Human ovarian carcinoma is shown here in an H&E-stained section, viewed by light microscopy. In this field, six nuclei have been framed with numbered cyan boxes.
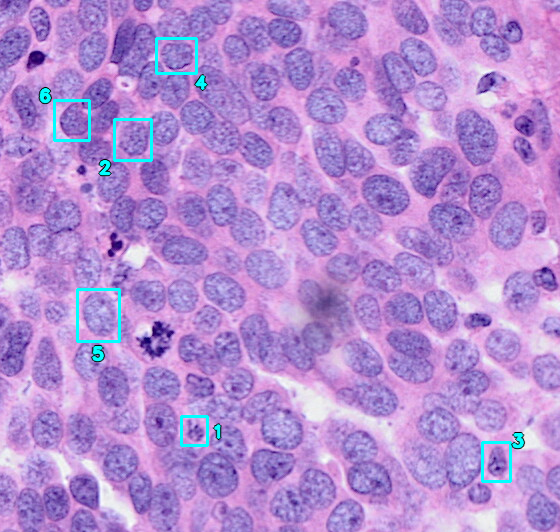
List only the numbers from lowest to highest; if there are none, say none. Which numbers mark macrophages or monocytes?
3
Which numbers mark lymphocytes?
1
